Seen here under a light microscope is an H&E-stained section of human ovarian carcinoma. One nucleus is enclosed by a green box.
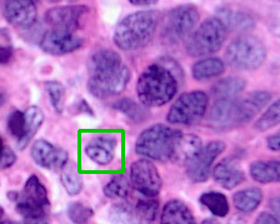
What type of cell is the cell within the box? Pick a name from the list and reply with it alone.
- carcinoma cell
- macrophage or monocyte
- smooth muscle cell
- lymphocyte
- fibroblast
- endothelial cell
macrophage or monocyte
